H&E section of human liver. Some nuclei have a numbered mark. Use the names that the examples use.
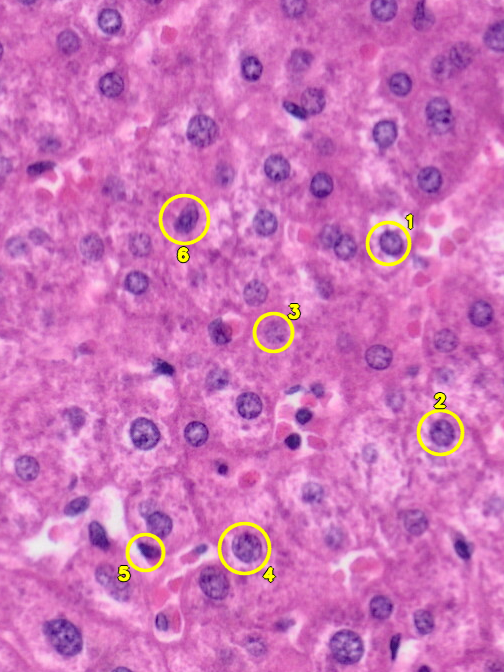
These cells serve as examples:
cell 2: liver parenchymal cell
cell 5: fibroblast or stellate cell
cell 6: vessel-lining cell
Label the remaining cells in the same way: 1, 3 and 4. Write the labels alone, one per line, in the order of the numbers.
liver parenchymal cell
liver parenchymal cell
liver parenchymal cell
